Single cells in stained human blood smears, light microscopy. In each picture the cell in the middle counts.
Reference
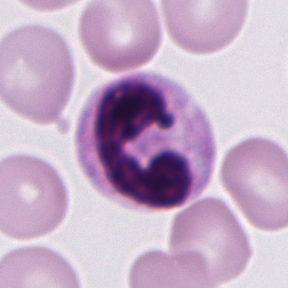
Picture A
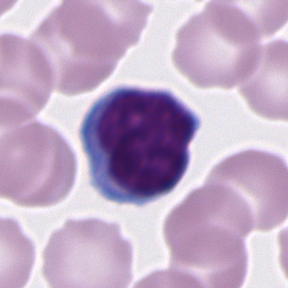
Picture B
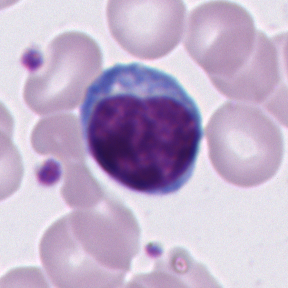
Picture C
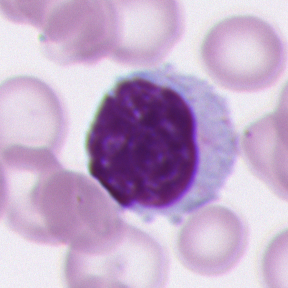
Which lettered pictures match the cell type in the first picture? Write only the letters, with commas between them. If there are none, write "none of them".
none of them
